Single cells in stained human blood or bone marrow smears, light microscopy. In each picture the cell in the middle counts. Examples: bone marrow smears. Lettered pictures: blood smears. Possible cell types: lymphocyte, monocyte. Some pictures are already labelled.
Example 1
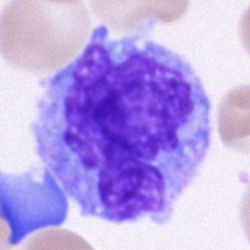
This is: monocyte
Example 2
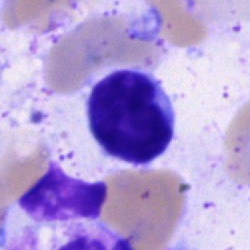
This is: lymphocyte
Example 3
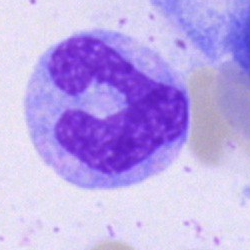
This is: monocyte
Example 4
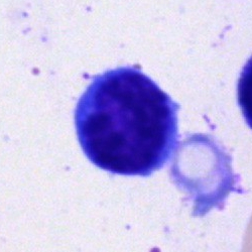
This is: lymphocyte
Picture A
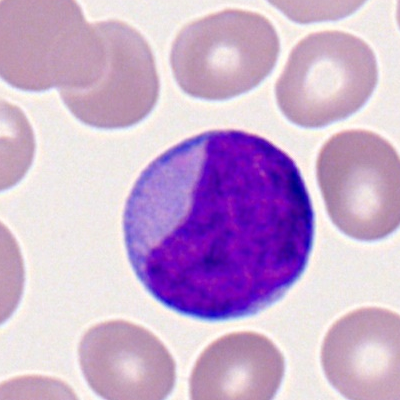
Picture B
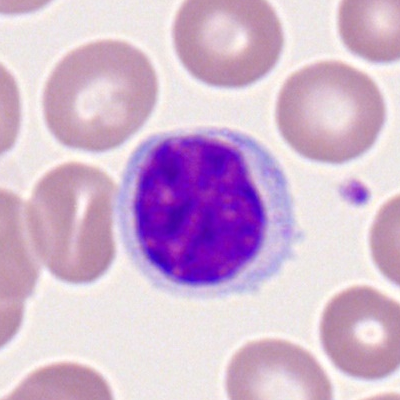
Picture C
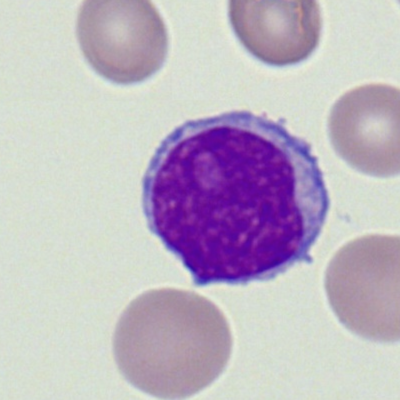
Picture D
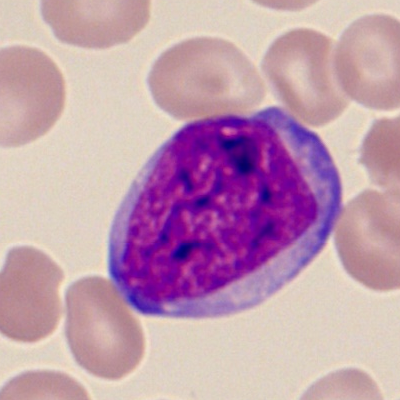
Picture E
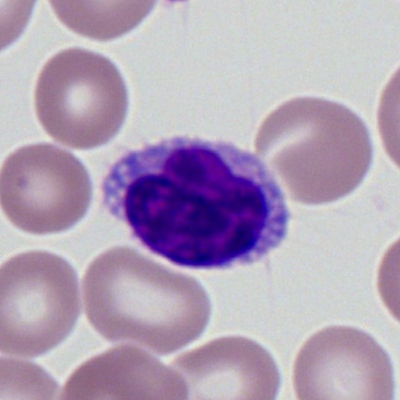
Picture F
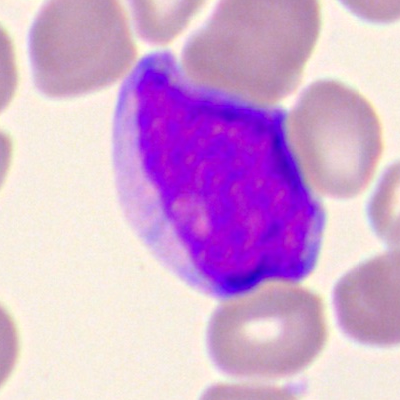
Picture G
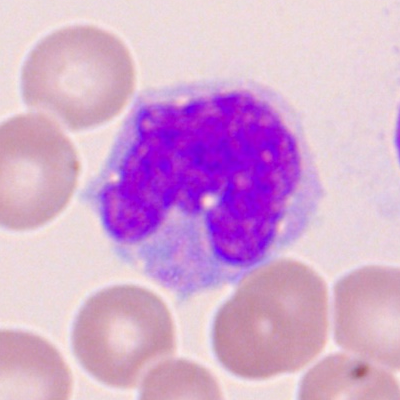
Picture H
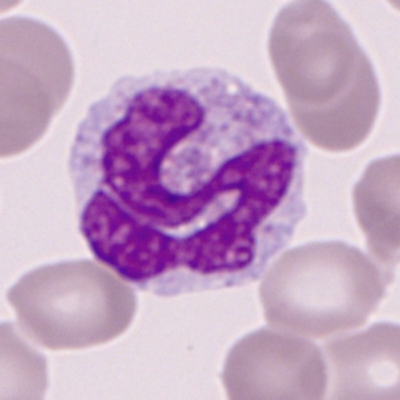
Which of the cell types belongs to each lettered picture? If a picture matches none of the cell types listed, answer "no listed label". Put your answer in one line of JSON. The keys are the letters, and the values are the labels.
{"A": "no listed label", "B": "lymphocyte", "C": "no listed label", "D": "no listed label", "E": "lymphocyte", "F": "no listed label", "G": "monocyte", "H": "monocyte"}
